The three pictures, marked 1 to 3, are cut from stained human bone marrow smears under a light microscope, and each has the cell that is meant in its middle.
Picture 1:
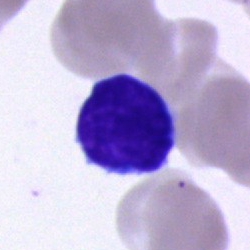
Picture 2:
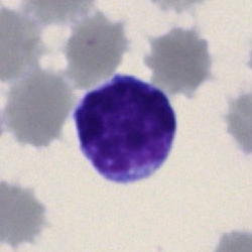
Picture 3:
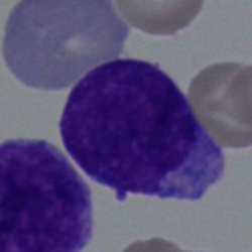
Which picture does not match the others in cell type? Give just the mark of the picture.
3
